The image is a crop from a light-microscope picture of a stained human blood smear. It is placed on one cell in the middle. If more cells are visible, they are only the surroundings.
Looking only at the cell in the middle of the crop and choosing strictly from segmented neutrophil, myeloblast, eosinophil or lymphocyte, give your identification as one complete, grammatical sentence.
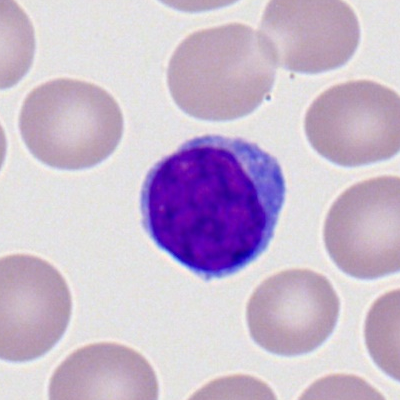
The cell the crop is centered on is a lymphocyte.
